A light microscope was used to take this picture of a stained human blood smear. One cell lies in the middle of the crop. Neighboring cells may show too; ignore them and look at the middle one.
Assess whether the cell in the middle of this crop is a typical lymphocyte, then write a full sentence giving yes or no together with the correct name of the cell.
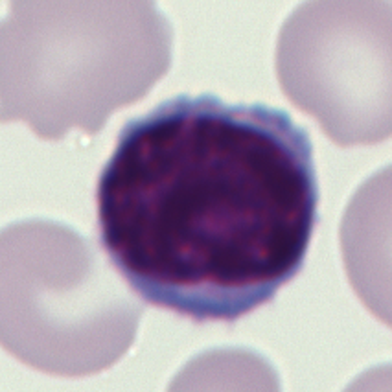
Yes, the cell that the crop is centred on is a typical lymphocyte.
